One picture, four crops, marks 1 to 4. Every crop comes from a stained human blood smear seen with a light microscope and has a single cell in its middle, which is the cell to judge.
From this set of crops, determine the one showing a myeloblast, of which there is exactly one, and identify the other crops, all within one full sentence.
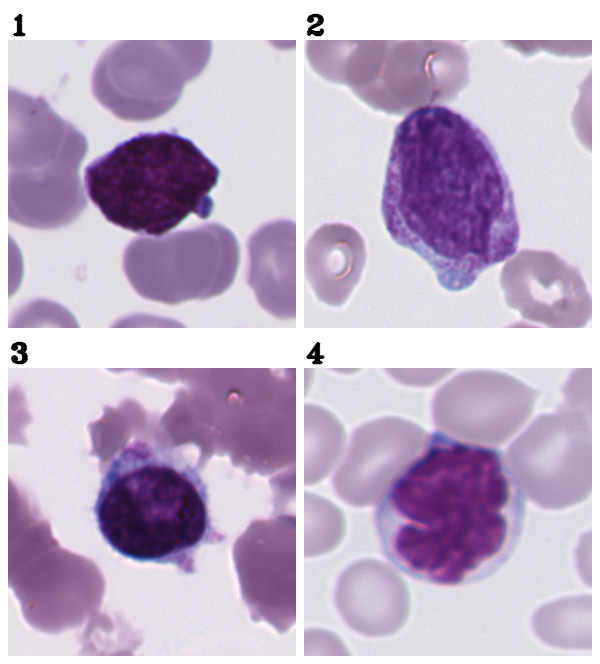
The centred cell in crop 1 is a myeloblast; meanwhile, crop 2 is an atypical promyelocyte, crop 3 is a hairy cell and crop 4 is a large granular lymphocyte.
